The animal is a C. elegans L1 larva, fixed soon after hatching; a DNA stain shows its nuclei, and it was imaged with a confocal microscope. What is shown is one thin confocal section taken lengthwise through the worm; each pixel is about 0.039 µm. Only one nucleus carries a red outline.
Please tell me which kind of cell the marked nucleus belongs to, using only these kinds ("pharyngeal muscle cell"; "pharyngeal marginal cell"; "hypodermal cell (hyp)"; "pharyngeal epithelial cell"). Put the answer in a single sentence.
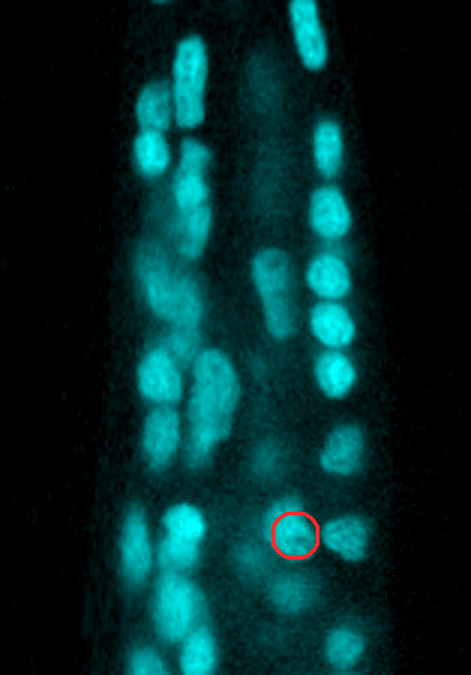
The cell with the marked nucleus is a pharyngeal marginal cell.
